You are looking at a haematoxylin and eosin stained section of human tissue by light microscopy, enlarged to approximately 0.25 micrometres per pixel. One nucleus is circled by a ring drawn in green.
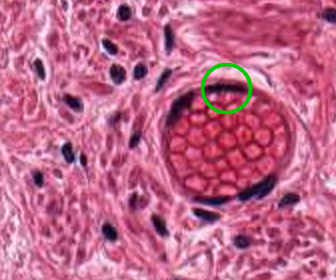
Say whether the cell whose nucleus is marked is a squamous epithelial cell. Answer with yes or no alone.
no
